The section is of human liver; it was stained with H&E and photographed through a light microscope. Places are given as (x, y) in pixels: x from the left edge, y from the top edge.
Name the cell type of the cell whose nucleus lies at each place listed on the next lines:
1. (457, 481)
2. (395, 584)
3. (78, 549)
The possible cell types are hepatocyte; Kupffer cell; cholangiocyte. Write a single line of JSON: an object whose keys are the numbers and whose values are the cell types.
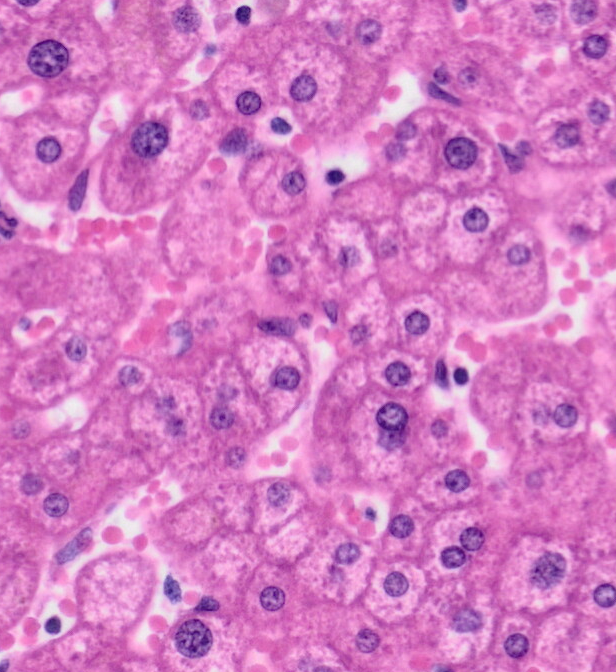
{"1": "hepatocyte", "2": "hepatocyte", "3": "Kupffer cell"}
